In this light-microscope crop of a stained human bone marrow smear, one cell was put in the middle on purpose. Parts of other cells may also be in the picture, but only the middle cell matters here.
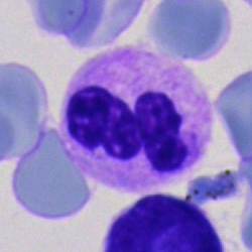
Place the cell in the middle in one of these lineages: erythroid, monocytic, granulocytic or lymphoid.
granulocytic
